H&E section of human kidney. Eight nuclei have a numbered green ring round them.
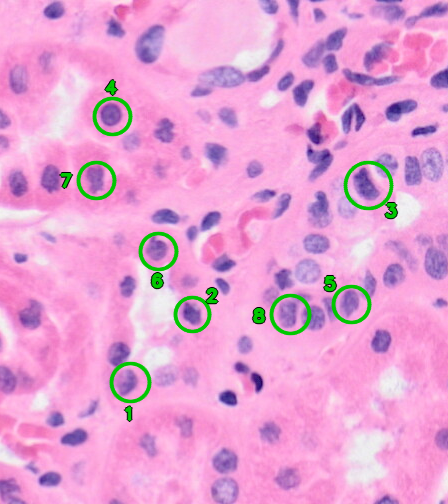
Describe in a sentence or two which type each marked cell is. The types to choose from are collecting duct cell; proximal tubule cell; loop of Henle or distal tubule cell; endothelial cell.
Cell 1 is a loop of Henle or distal tubule cell, cell 2 is a loop of Henle or distal tubule cell, cell 3 is a collecting duct cell, cell 4 is a proximal tubule cell, cell 5 is a collecting duct cell, cell 6 is a loop of Henle or distal tubule cell, cell 7 is a proximal tubule cell and cell 8 is a collecting duct cell.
